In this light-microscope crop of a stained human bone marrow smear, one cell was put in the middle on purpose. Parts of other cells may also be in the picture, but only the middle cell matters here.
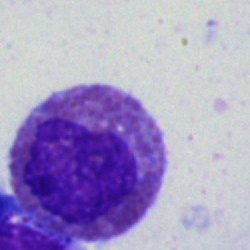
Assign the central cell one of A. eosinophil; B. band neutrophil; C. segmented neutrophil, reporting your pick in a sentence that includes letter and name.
Occupying the middle of the crop is an eosinophil, hence option A is correct.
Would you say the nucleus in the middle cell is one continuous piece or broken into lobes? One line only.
Have a look at the nucleus, which is one compact mass, round, oval or kidney-shaped.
